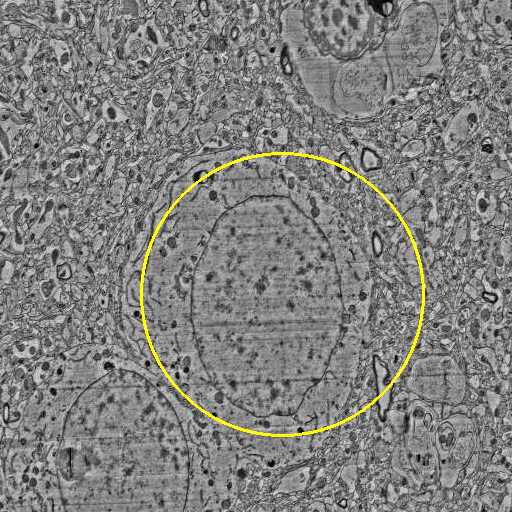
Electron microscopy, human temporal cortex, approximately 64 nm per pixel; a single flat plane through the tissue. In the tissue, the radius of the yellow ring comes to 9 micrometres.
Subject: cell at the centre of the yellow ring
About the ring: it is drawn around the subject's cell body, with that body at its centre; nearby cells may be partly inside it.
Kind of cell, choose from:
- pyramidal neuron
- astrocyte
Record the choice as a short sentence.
The subject cell is a pyramidal neuron.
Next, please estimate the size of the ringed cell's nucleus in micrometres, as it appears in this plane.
The nucleus works out at approximately 14 by 10 micrometres in this plane.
